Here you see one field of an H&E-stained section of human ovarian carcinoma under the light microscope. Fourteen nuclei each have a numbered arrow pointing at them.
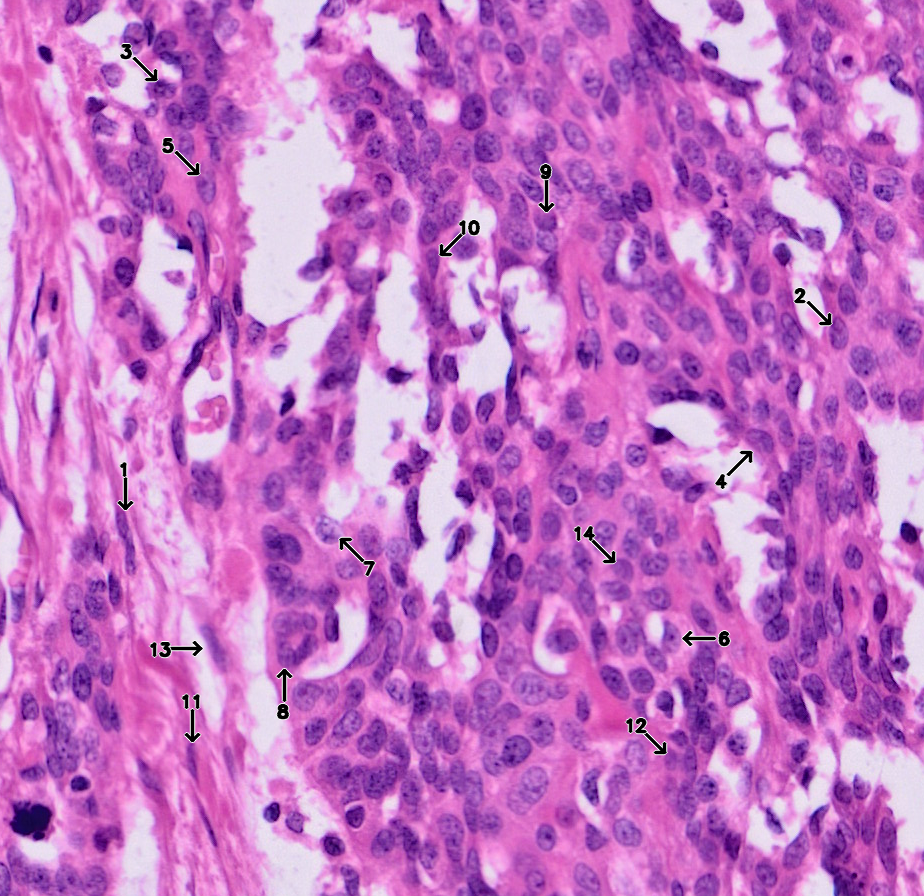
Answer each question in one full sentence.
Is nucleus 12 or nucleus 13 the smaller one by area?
The smaller nucleus is 12, and 13 covers roughly 2.5 times its area.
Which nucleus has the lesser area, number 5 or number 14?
With nucleus 5 about 1.5 times its size, nucleus 14 is the smaller of the two.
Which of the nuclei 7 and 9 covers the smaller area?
It is nucleus 9; nucleus 7 has about 2 times its area.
